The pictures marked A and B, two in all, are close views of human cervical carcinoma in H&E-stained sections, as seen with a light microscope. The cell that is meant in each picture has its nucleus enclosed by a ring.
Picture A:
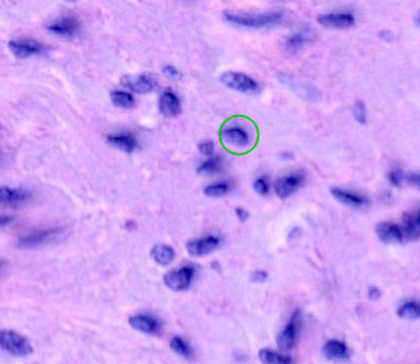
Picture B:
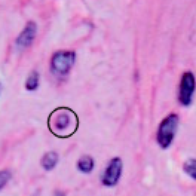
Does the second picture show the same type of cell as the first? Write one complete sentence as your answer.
No; the cell in picture A is a fibroblast, while the one in picture B is a smooth muscle cell.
